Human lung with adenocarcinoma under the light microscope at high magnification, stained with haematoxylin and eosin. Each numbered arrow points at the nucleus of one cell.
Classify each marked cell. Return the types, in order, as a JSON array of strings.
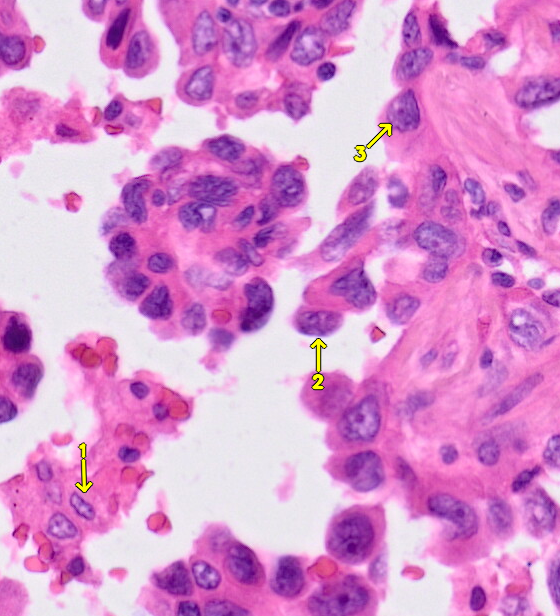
["macrophage or monocyte", "carcinoma cell", "carcinoma cell"]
